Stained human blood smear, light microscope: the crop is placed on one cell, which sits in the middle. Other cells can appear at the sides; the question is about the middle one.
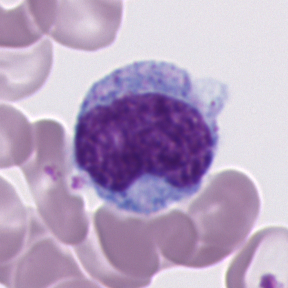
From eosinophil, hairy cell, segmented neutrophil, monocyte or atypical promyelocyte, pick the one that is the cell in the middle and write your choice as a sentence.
The central element of this crop is a cell, namely a monocyte.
